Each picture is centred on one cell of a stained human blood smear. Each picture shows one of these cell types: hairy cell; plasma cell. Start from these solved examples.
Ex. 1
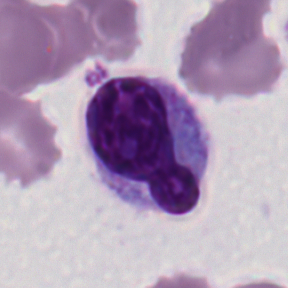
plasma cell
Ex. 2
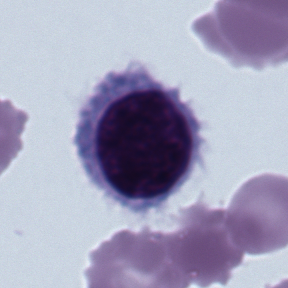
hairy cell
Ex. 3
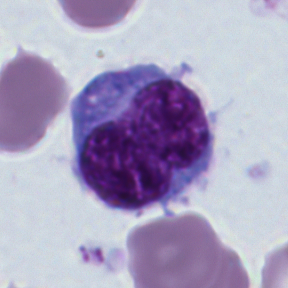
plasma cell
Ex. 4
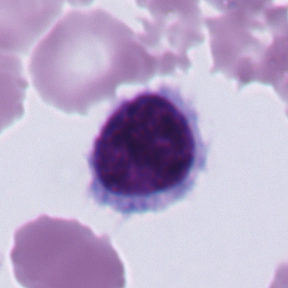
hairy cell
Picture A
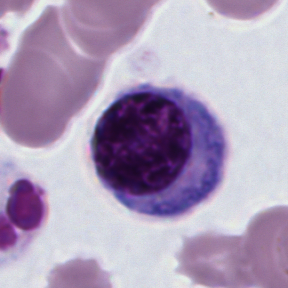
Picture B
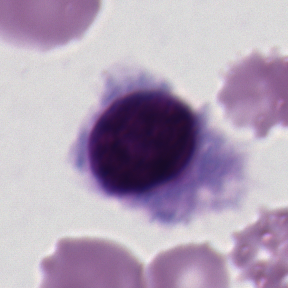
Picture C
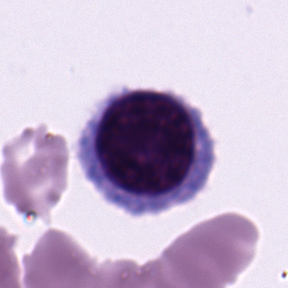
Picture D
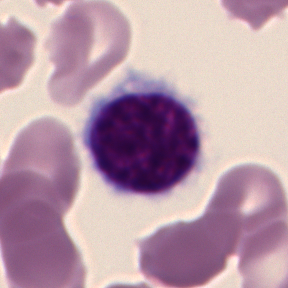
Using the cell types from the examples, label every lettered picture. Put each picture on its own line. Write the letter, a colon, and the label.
A: plasma cell
B: hairy cell
C: hairy cell
D: hairy cell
